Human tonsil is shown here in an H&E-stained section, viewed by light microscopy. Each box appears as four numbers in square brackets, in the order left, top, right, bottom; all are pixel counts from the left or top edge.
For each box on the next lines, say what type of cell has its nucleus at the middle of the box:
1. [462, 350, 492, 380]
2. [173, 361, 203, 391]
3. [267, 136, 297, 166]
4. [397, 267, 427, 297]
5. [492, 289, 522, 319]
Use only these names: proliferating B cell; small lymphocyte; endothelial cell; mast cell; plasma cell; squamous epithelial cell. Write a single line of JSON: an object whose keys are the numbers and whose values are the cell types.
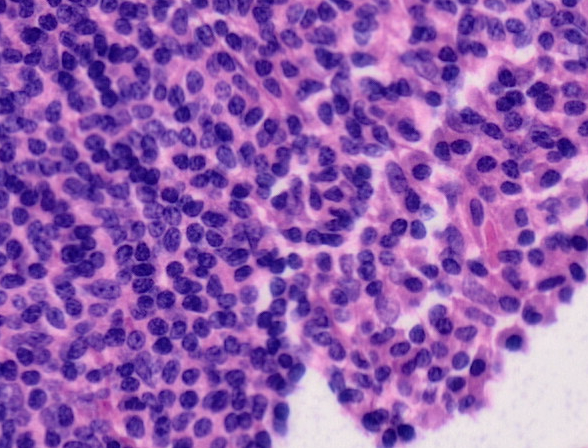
{"1": "plasma cell", "2": "small lymphocyte", "3": "small lymphocyte", "4": "plasma cell", "5": "plasma cell"}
